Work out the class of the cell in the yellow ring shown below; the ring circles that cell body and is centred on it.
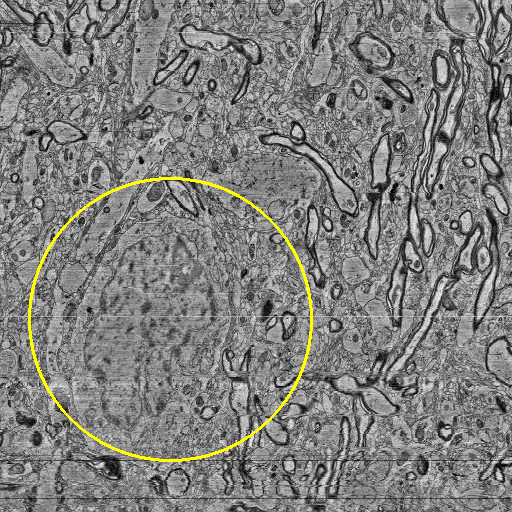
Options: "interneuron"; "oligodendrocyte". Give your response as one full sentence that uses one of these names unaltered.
The body ringed in yellow, right at the ring's centre, is that of an interneuron.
